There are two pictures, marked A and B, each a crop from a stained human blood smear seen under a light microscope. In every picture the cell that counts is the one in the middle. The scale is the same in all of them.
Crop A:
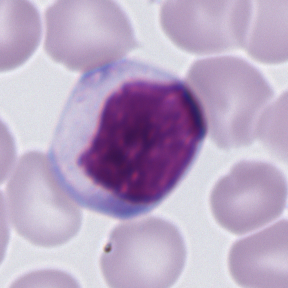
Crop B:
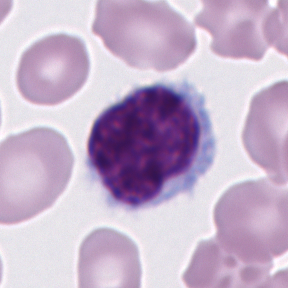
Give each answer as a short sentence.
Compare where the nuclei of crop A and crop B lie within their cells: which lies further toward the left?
It is the nucleus in crop B that lies further toward the left of its cell.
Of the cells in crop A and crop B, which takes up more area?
Crop A holds the larger cell; it covers about 1.5 times the area of the cell in crop B.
